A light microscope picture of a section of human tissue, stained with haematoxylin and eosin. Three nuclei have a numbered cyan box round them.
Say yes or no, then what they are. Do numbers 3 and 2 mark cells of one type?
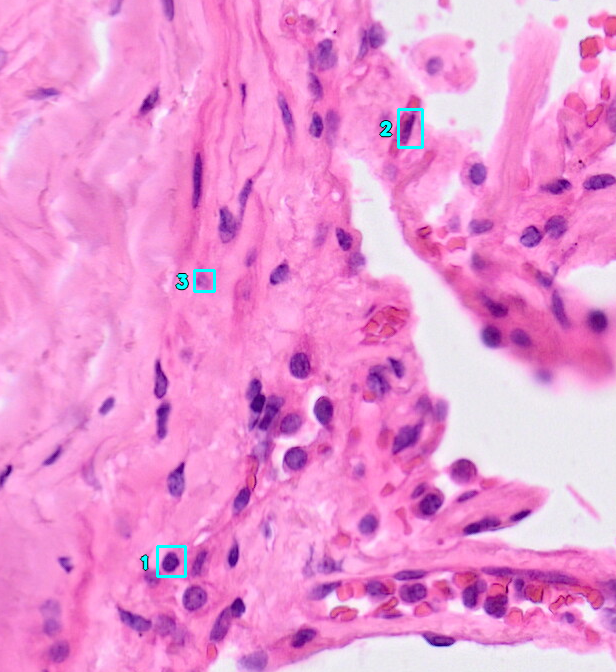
No, cell 3 is a smooth muscle cell or pericyte, whereas cell 2, for its part, is an endothelial cell.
